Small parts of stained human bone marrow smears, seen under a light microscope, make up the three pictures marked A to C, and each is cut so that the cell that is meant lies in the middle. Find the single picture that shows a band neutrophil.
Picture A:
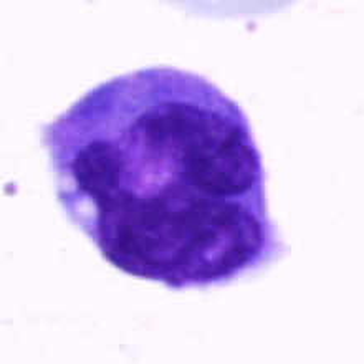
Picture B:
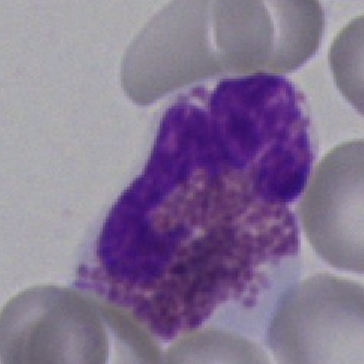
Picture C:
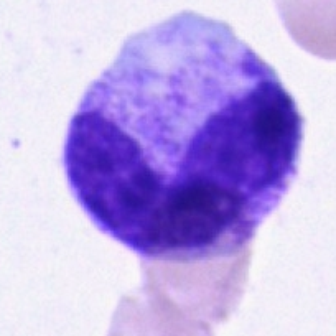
C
